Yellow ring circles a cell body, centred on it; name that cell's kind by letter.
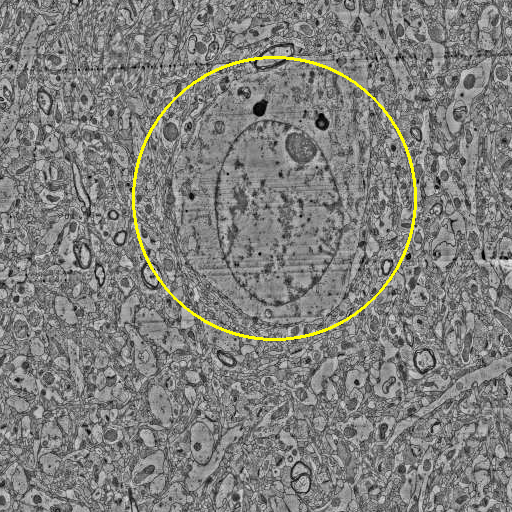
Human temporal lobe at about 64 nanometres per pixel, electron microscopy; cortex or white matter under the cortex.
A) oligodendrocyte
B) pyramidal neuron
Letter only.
B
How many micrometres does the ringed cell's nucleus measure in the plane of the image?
The nucleus is approximately 12 micrometers long by 8 micrometers wide in this plane.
